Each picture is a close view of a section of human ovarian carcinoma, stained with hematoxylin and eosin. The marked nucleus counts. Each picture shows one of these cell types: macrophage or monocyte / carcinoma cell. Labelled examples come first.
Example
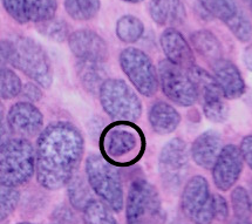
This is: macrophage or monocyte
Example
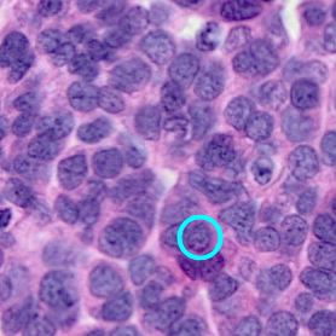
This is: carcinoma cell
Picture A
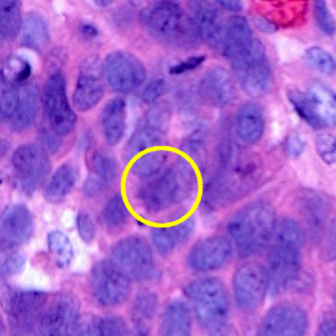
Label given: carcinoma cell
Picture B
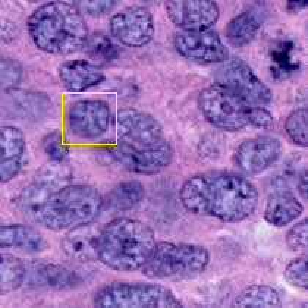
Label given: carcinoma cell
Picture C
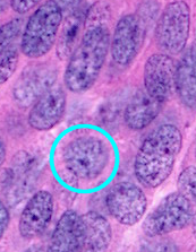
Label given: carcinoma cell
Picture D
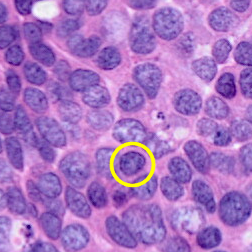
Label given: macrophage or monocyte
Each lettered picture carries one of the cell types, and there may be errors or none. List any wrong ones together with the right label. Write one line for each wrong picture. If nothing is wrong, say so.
D: change macrophage or monocyte to carcinoma cell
